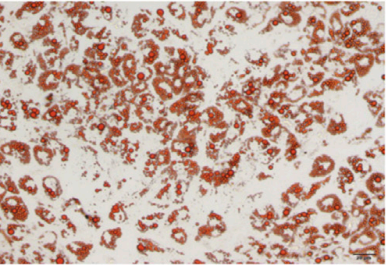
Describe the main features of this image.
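The field shows cultured adipocytes packed with lipid. Most cells are rounded and filled with numerous red-stained droplets of varying size, clustered so densely that the cell outline is marked by the droplets themselves. The cells lie in loose groups separated by pale, unstained background.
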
